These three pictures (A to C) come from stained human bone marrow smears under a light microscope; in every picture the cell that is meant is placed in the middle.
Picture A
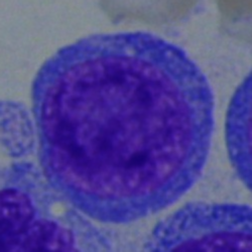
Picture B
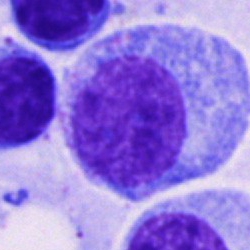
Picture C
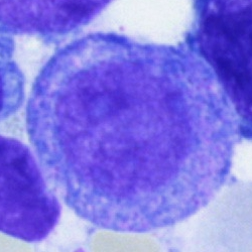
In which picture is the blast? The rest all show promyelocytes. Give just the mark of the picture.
A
